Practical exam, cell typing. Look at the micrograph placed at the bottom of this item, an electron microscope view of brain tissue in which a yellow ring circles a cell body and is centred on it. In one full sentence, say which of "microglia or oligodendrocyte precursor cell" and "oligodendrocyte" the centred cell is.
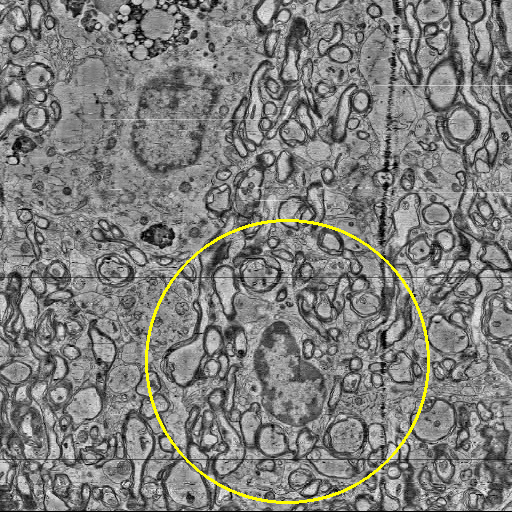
Given the options, a microglial cell or oligodendrocyte precursor cell fits the cell whose body the yellow ring is centred on.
